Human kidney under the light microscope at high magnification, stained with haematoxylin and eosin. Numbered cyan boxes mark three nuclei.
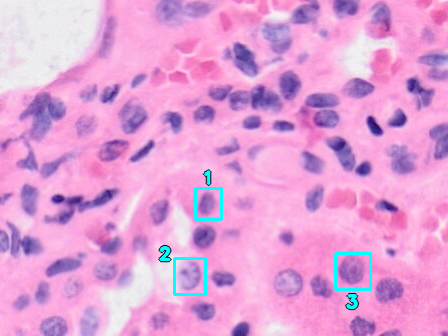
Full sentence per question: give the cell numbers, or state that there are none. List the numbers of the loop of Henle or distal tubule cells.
The cells numbered 1 and 2 are of one kind: loop of Henle or distal tubule cells.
